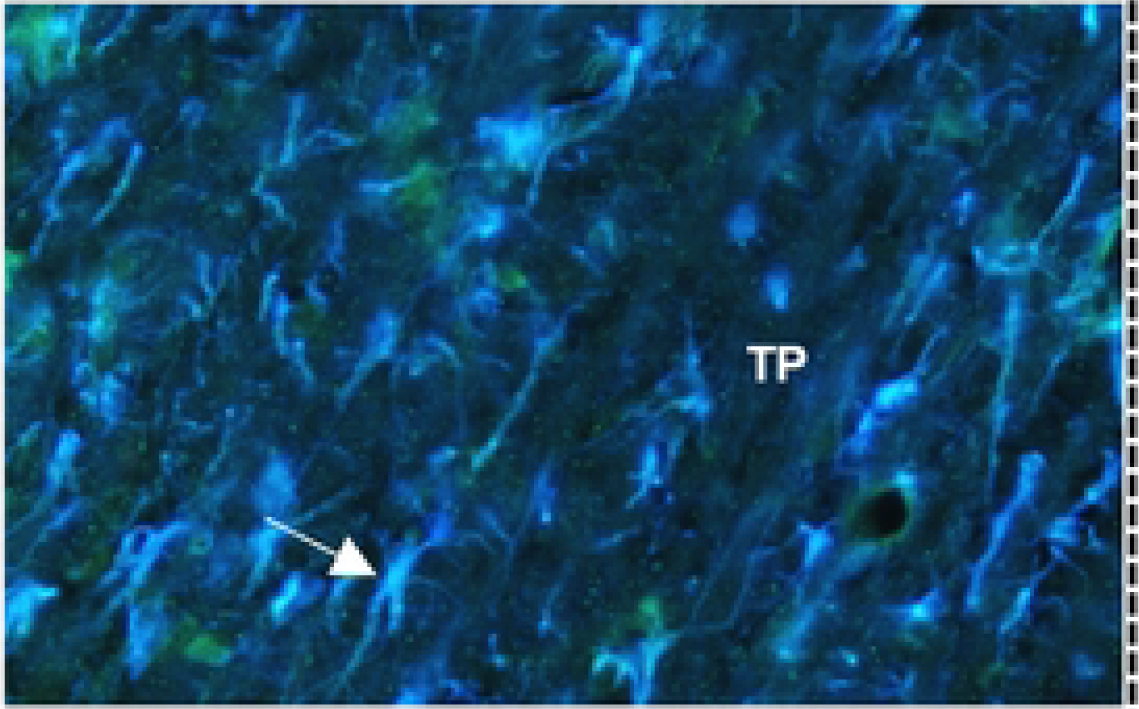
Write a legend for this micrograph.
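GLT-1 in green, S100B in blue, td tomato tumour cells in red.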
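Brain tissue is seen in which many small star-shaped cells with bright blue bodies send fine branching processes out in all directions, many running in roughly parallel diagonal streaks. A fainter green tone lies over the same bodies and processes, so the two colours blend into a blue-green. No crowded large rounded red cells are present, and a single small dark round hole lies toward the right.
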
